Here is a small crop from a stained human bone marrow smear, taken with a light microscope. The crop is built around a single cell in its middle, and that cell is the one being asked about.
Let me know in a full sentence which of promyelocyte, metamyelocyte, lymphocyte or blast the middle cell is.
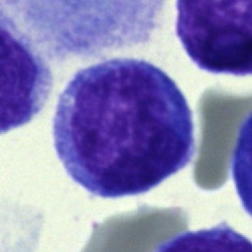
Occupying the centre of the crop is a blast.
